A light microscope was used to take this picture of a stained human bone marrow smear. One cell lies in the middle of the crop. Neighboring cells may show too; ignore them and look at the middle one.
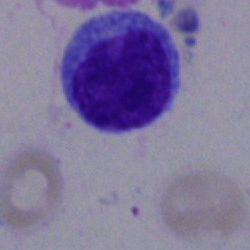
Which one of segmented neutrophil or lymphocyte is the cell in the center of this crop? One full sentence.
In the center of this field lies a lymphocyte.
